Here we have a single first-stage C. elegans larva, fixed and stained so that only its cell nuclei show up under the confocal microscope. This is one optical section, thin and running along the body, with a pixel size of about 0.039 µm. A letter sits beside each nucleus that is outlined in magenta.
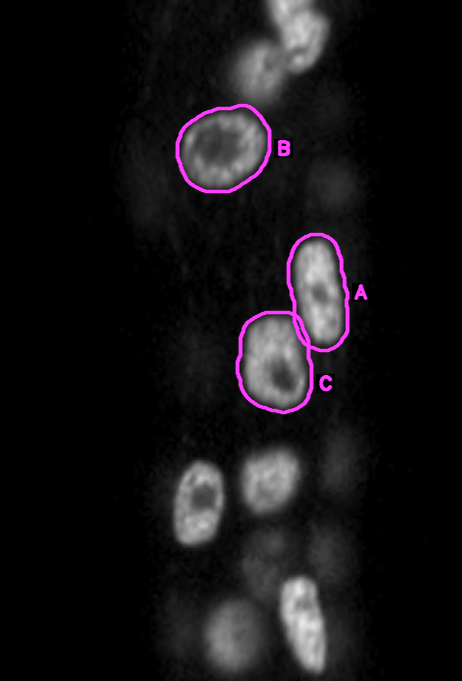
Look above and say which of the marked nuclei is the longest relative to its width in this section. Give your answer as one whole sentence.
A is the most elongated.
